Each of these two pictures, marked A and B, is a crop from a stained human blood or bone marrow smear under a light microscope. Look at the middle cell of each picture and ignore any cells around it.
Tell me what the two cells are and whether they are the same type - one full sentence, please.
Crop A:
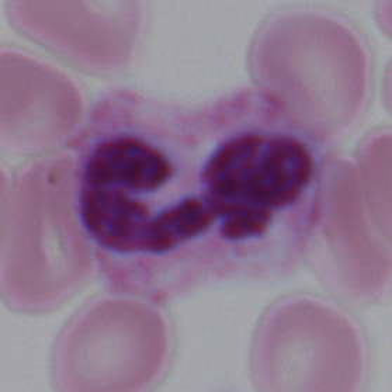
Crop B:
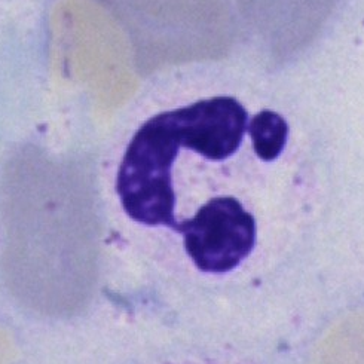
Yes, the cells at the centre of the two crops are both segmented neutrophils.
